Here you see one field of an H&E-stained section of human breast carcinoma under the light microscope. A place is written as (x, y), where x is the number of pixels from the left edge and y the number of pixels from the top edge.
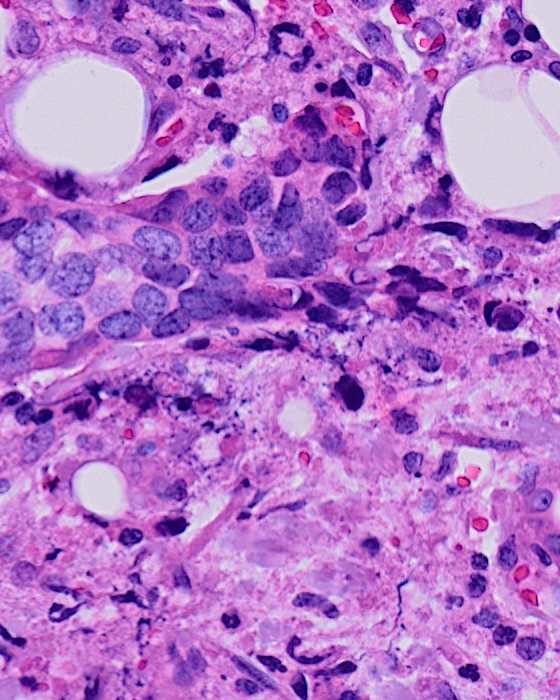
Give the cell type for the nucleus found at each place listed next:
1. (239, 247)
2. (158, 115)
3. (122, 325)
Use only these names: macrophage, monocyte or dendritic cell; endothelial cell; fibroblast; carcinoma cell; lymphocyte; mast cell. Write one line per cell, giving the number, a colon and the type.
1: carcinoma cell
2: endothelial cell
3: carcinoma cell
